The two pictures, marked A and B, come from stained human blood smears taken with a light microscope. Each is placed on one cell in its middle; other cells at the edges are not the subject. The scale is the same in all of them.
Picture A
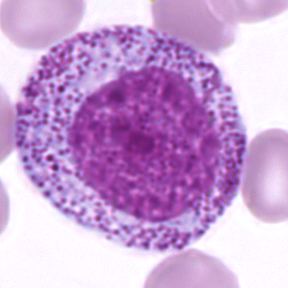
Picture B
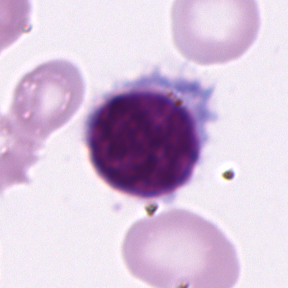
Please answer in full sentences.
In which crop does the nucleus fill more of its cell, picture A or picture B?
It is the cell in picture B that is filled more by its nucleus.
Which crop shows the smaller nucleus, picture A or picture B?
Picture B shows the smaller nucleus, since that in picture A covers about 2 times as much area.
